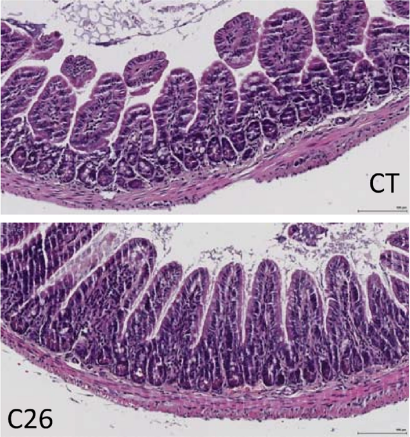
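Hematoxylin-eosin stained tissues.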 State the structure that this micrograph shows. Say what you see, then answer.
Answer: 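Finger-like projections of mucosa extend into the lumen. Each projection is covered by a single layer of epithelium with dark nuclei. That points to this answer: Villi.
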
